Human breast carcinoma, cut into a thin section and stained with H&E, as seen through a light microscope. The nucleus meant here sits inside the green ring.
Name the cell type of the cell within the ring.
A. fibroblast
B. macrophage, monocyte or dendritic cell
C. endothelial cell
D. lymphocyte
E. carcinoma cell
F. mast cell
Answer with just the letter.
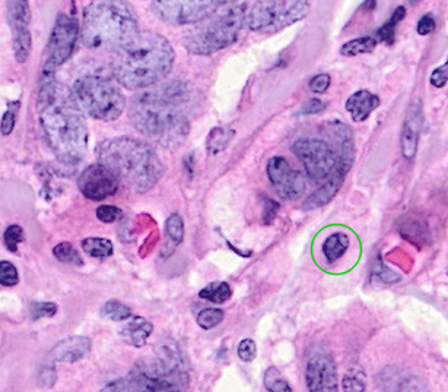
F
